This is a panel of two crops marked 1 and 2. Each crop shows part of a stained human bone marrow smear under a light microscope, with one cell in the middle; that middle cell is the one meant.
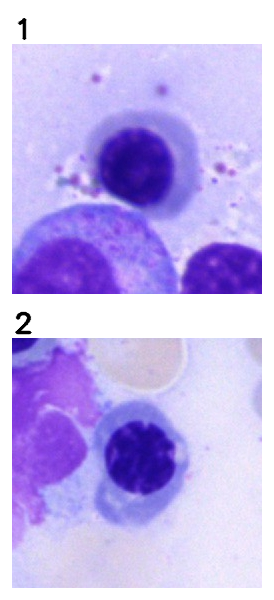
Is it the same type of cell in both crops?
yes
